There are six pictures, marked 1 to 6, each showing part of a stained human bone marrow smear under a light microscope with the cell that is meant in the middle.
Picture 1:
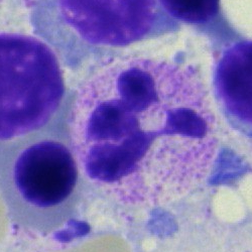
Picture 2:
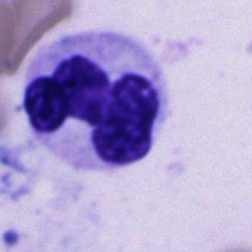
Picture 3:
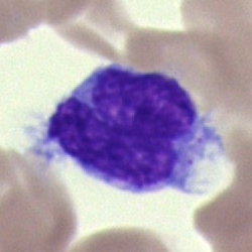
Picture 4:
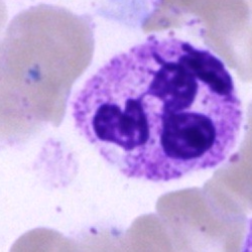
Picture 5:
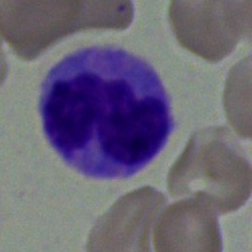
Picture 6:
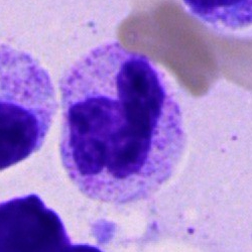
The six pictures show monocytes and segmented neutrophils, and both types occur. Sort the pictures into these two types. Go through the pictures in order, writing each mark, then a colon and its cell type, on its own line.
1: segmented neutrophil
2: segmented neutrophil
3: monocyte
4: segmented neutrophil
5: monocyte
6: segmented neutrophil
